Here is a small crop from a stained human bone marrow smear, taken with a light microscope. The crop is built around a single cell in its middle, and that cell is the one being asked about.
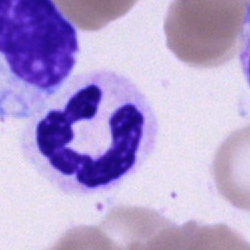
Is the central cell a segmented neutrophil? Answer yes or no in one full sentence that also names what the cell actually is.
Yes, the middle cell here is a segmented neutrophil.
